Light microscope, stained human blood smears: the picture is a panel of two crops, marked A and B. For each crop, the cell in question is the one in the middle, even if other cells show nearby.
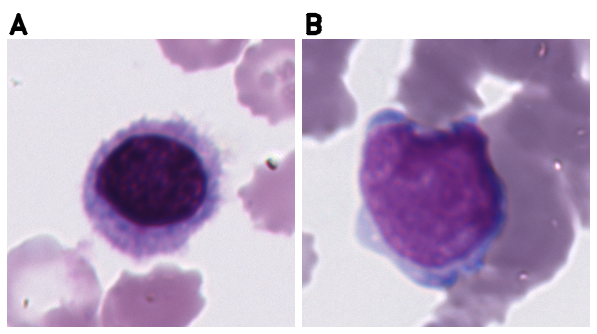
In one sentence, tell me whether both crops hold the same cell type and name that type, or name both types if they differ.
No, in this case crop A shows a hairy cell, and crop B shows a blast.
